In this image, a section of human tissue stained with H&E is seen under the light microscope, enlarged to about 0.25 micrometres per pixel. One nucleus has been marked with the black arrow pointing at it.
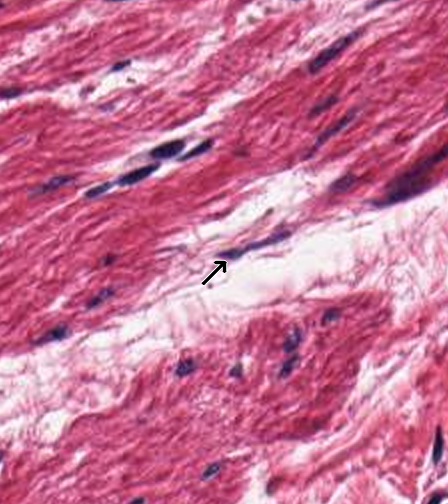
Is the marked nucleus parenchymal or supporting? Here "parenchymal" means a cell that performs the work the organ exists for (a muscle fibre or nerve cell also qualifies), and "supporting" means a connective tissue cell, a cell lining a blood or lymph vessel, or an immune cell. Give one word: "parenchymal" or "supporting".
supporting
